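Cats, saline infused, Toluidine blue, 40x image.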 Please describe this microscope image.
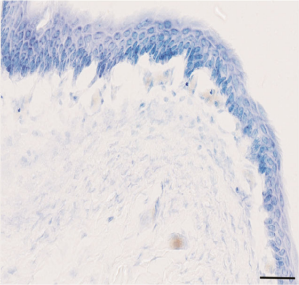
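This is the lining of the bladder wall: an intact urothelium resting on the sub-urothelium and lamina propria. The urothelium is a continuous band several cells thick, its closely packed cells staining deep blue, with the outermost cells appearing larger and rounded toward the free surface. Beneath it the connective tissue of the sub-urothelium and lamina propria is pale, made of loose wavy fibres with only sparse, scattered small nuclei.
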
